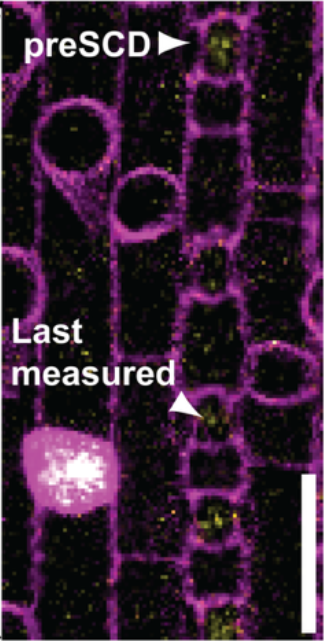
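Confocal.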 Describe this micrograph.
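This is grass leaf epidermis in the developing zone, with magenta cell outlines arranged in longitudinal files. A central file of short stomatal lineage cells shows only faint, sparse yellow in a few nuclei. The files beside it contain larger rounded cells, and a bright magenta blob lies over one of them.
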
